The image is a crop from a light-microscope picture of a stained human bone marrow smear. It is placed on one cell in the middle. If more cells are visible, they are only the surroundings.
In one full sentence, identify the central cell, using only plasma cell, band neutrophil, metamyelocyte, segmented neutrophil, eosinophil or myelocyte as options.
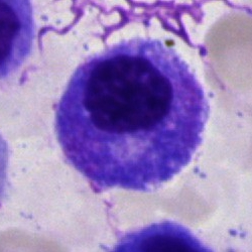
The centrally positioned cell in the crop represents a plasma cell.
